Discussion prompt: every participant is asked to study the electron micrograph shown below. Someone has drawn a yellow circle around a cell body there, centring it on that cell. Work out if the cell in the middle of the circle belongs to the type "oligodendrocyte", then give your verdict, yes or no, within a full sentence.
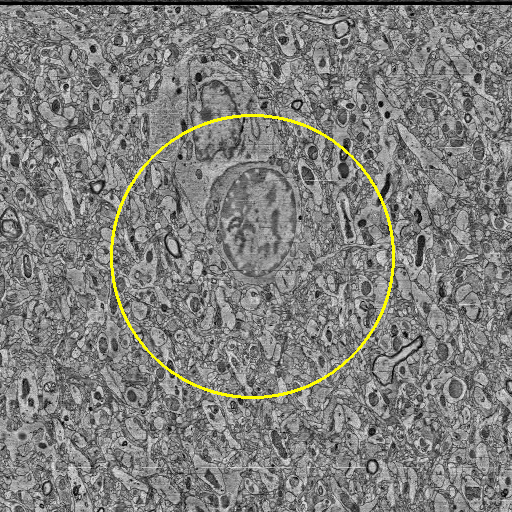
Yes, my verdict is that the cell in the circle's centre is of that type.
